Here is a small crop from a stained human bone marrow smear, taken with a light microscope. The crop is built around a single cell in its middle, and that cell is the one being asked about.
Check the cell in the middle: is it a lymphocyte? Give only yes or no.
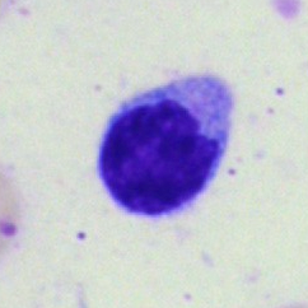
yes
